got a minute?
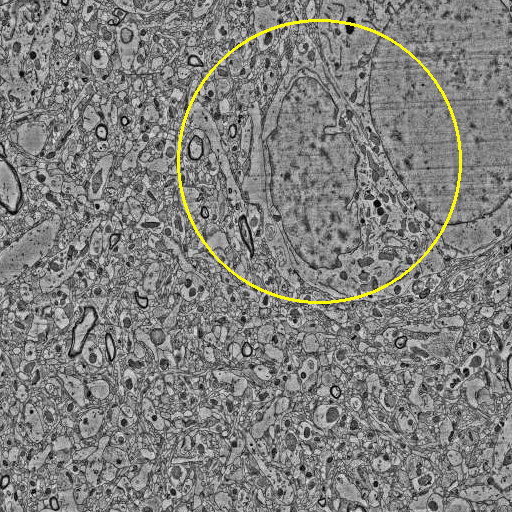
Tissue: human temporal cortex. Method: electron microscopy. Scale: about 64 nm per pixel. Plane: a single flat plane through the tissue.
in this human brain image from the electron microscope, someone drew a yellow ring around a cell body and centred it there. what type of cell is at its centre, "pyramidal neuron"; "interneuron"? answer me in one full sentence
It's an interneuron at the middle of that yellow ring in the shot.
